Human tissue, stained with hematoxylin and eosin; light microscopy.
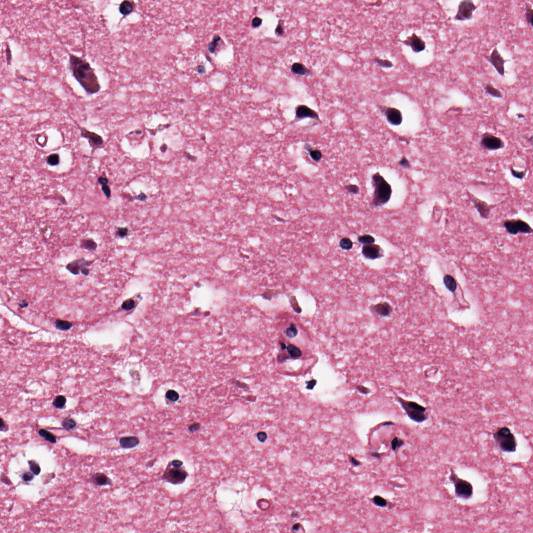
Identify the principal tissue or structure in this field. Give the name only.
cerebral cortex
